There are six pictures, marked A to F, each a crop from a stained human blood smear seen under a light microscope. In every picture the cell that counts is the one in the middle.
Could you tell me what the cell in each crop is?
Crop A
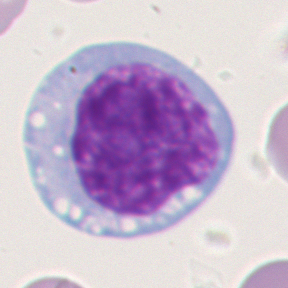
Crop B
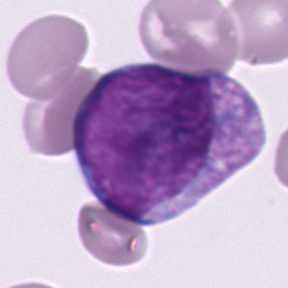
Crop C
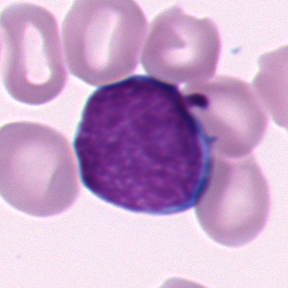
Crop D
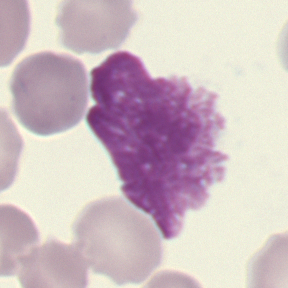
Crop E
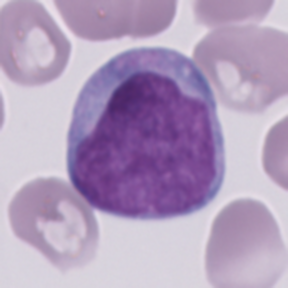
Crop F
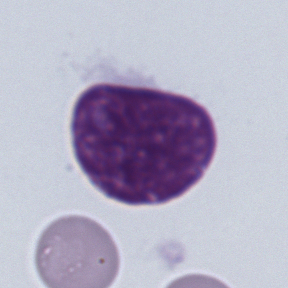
A: myeloblast
B: atypical promyelocyte
C: myeloblast
D: smudge cell
E: atypical promyelocyte
F: smudge cell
